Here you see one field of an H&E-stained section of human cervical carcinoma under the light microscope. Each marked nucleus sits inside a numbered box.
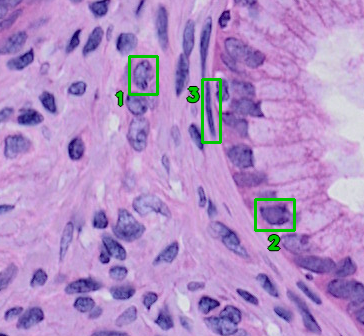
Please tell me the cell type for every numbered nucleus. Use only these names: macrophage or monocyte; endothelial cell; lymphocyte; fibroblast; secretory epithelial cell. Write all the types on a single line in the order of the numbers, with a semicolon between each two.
endothelial cell; secretory epithelial cell; fibroblast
